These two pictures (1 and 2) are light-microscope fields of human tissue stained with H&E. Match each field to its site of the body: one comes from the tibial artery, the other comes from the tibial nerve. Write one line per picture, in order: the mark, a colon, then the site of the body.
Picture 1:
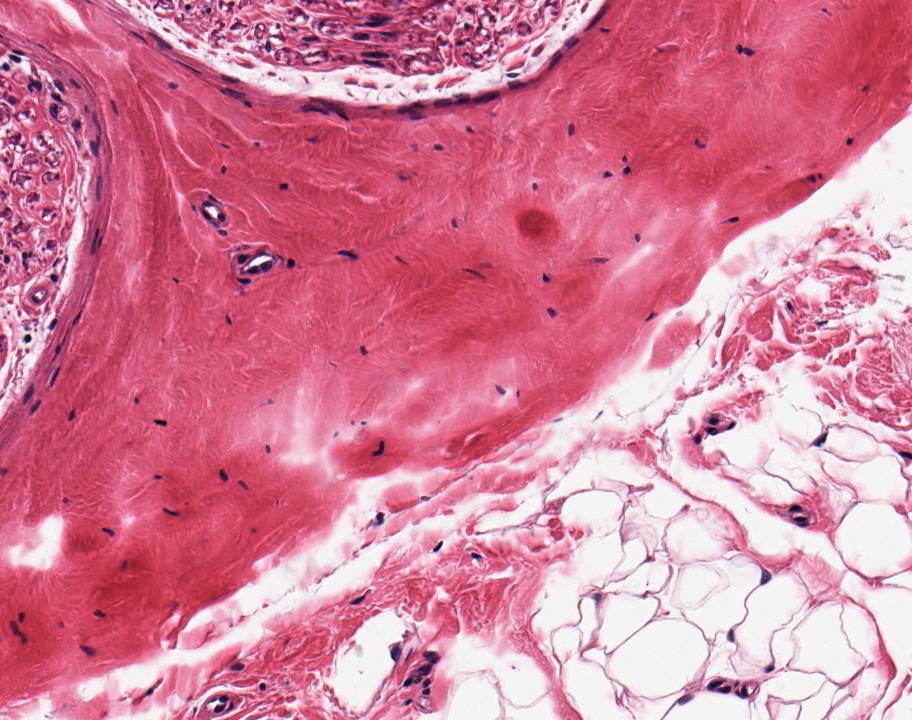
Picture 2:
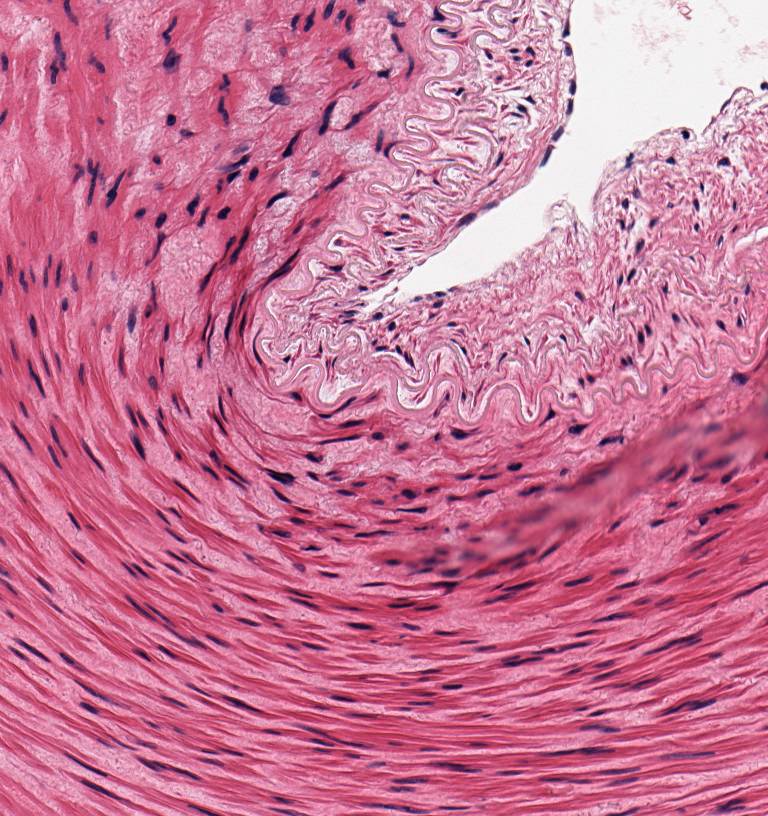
1: tibial nerve
2: tibial artery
